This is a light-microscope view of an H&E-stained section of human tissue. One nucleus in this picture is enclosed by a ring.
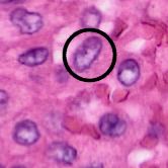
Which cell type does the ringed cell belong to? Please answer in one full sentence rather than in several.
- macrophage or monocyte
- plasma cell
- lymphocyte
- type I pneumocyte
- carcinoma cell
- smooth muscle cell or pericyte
Cell type answer for this item: the ringed cell is a macrophage or monocyte.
